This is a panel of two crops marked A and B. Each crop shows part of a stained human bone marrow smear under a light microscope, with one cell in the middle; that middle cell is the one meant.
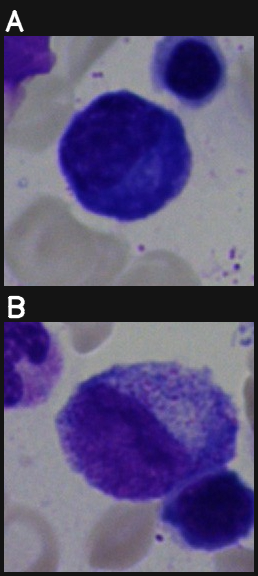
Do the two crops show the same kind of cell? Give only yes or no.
no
